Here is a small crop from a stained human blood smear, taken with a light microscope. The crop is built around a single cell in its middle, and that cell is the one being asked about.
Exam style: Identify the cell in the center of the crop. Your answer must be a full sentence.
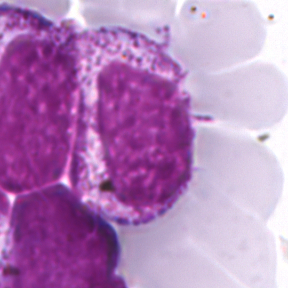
The middle of this crop is occupied by a myelocyte.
